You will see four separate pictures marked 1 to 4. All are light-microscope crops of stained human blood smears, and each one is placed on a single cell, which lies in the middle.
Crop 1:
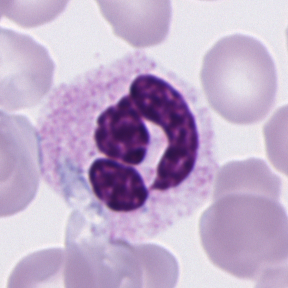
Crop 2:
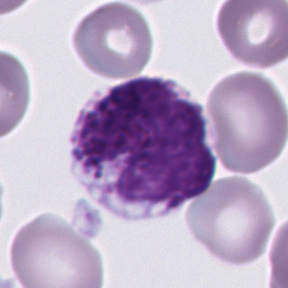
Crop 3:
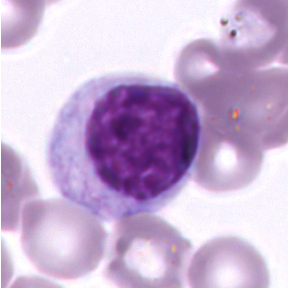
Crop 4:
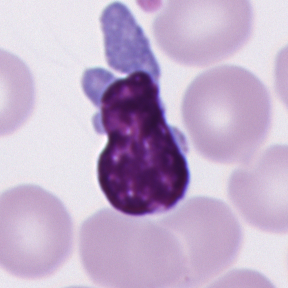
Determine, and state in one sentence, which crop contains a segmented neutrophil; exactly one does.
The one showing a segmented neutrophil is crop 1.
